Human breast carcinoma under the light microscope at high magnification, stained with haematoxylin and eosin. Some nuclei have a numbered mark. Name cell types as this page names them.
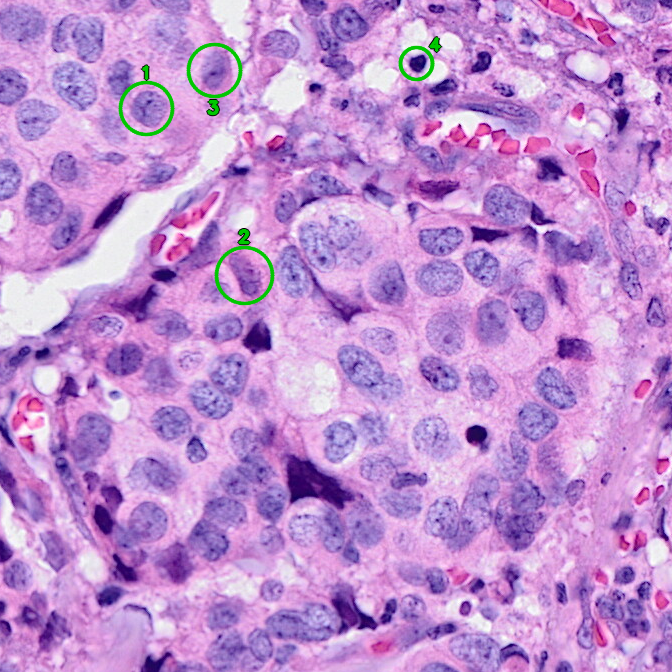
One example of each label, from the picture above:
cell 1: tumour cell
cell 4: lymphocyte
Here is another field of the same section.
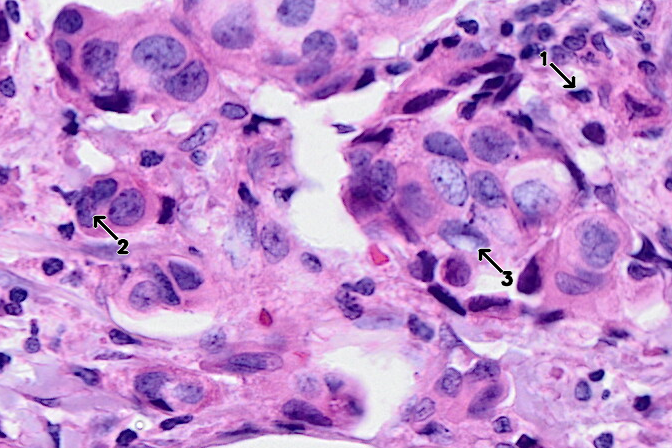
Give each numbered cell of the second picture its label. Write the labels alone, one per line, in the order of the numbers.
lymphocyte
tumour cell
tumour cell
